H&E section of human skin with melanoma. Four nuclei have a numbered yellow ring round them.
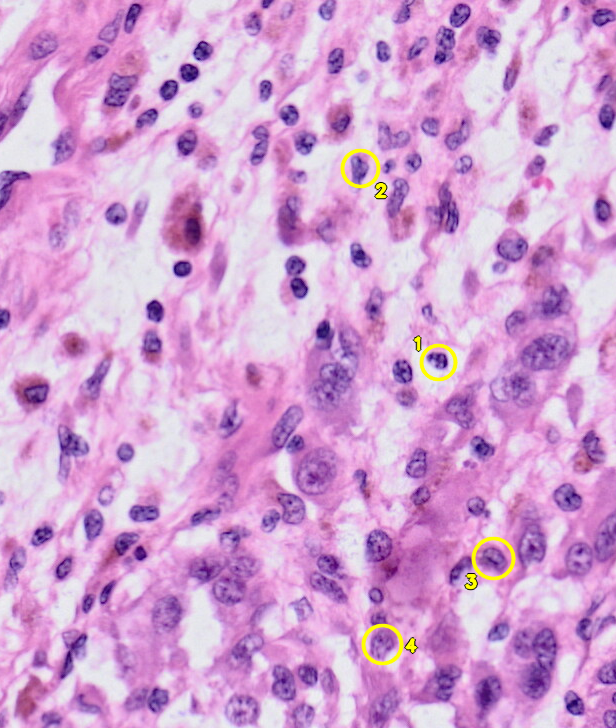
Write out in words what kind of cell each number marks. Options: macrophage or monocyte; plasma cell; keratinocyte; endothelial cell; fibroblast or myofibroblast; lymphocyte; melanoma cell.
Cell 1 is a lymphocyte, cell 2 is a lymphocyte, cell 3 is a macrophage or monocyte and cell 4 is a melanoma cell.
